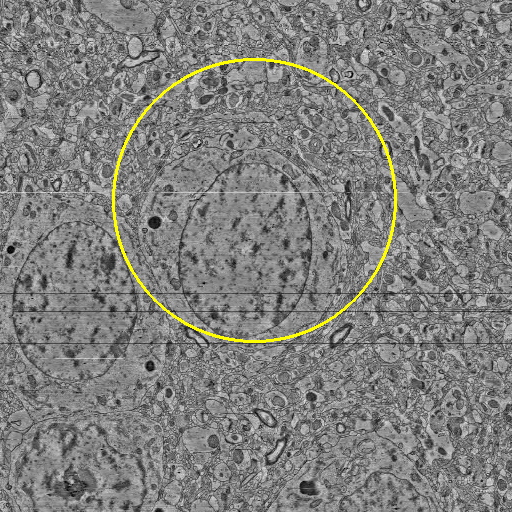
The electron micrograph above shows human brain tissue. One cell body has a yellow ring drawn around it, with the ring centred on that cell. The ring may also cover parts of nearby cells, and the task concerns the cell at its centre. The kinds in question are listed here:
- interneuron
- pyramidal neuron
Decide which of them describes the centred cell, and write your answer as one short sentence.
The centred cell is a pyramidal neuron.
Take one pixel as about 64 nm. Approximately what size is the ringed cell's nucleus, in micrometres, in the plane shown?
In this plane the nucleus measures roughly 12 by 8 micrometres.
